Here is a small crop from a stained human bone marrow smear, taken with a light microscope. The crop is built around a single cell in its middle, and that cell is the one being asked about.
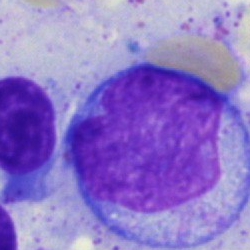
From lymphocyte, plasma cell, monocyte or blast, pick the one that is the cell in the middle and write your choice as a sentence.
This particular crop is centered on a blast.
